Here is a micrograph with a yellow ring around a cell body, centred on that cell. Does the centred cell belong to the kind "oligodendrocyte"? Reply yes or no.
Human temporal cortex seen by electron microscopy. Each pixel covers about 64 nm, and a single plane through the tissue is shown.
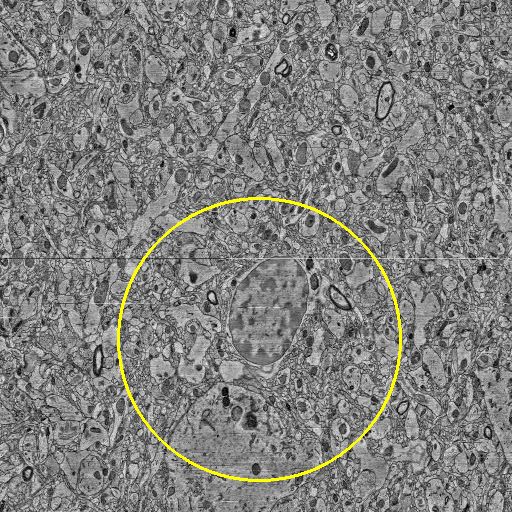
no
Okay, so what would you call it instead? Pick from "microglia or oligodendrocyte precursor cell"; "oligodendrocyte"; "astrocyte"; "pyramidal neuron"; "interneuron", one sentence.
It is a microglial cell or oligodendrocyte precursor cell at the centre of the ring.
